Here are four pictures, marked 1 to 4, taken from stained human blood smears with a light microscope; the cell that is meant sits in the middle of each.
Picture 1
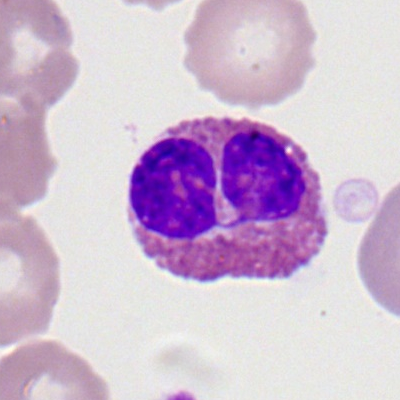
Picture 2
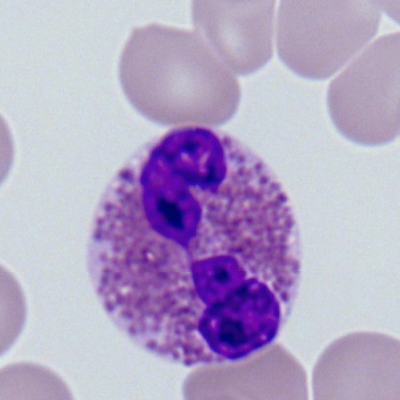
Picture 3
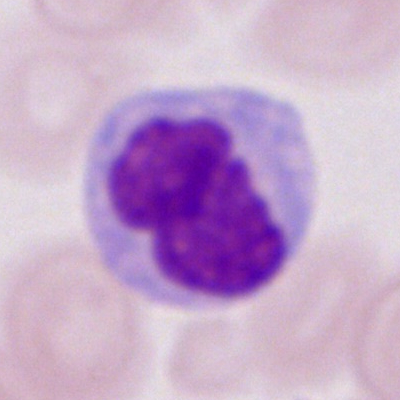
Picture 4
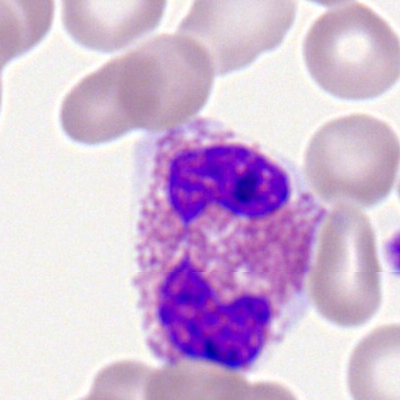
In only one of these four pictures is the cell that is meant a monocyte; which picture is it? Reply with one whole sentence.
The monocyte is the one in picture 3.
